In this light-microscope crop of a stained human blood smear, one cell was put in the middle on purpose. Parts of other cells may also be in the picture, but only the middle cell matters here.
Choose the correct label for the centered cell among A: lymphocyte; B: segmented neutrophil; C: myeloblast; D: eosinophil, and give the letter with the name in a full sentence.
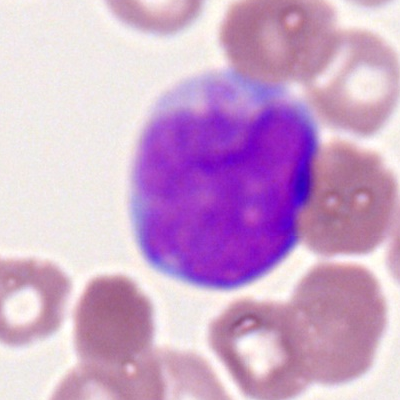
Seen at the centre of the crop is a myeloblast, so option C is correct.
